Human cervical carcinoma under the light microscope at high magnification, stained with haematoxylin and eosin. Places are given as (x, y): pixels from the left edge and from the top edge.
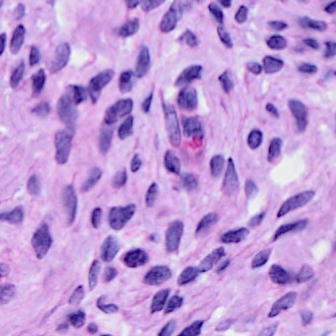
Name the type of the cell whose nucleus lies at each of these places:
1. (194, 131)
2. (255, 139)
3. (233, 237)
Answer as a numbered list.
1. endothelial cell
2. fibroblast
3. fibroblast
